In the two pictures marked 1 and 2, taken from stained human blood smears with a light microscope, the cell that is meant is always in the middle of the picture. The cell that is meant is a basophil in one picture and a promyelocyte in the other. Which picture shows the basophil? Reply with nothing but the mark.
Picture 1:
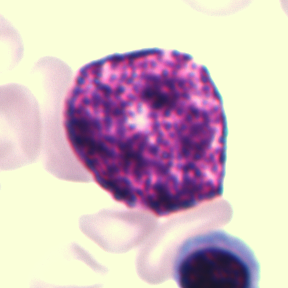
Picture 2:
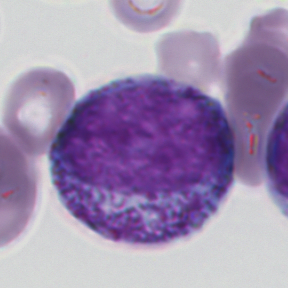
1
